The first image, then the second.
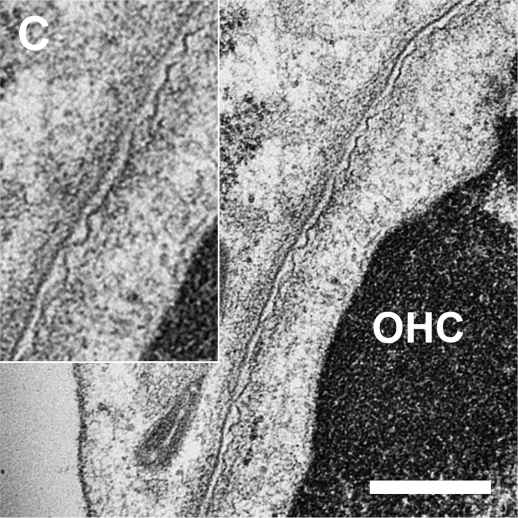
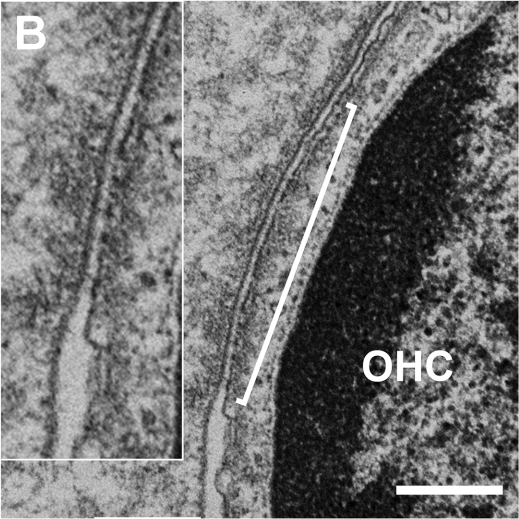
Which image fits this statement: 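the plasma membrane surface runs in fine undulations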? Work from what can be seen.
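The first image. Second image: the membrane beside the dark nucleus runs as a straight, smooth line over a long stretch. First image: the membrane beside the dark nucleus undulates finely along its length.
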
